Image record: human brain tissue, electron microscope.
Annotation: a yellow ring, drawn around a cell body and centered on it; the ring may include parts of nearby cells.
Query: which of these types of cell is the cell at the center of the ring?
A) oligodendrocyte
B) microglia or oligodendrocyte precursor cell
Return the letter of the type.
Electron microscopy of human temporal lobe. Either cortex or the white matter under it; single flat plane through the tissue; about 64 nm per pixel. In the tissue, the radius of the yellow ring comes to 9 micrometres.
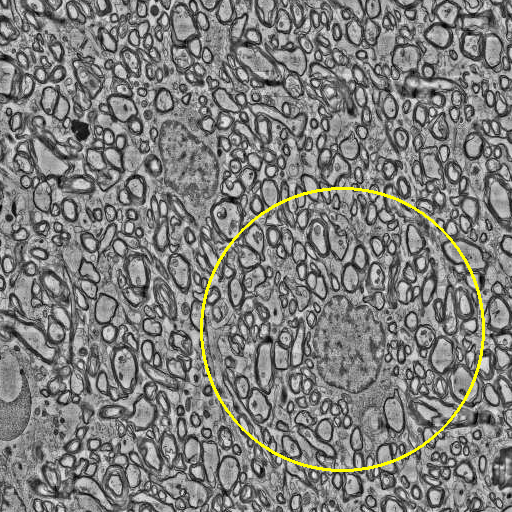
A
